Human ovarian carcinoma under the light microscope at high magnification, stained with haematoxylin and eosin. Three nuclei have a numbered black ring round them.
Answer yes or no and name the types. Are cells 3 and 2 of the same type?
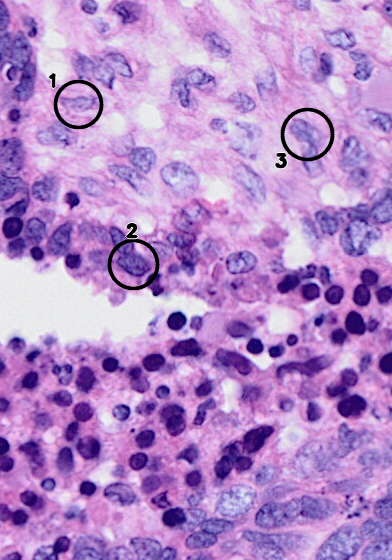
No, a carcinoma cell is what cell 2 is, while cell 3 is a fibroblast.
